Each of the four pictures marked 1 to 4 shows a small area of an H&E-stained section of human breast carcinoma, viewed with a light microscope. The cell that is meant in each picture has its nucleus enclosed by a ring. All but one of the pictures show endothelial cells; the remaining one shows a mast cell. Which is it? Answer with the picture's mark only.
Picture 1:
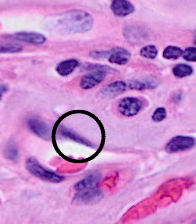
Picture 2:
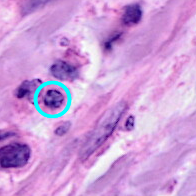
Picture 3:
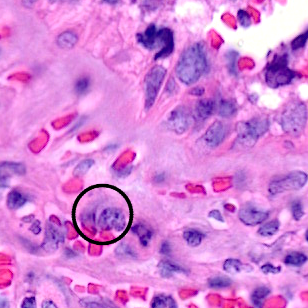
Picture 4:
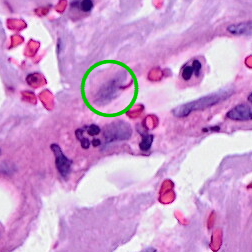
2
